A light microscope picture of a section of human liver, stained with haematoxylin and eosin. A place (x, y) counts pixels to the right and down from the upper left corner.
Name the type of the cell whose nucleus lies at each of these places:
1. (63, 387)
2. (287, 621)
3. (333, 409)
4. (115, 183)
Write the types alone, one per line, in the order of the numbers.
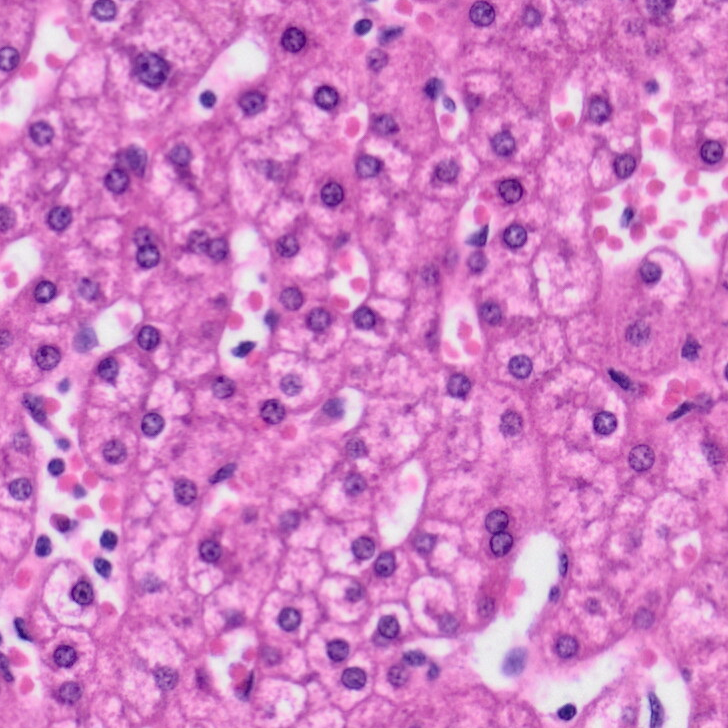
lymphocyte
hepatocyte
Kupffer cell
hepatocyte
